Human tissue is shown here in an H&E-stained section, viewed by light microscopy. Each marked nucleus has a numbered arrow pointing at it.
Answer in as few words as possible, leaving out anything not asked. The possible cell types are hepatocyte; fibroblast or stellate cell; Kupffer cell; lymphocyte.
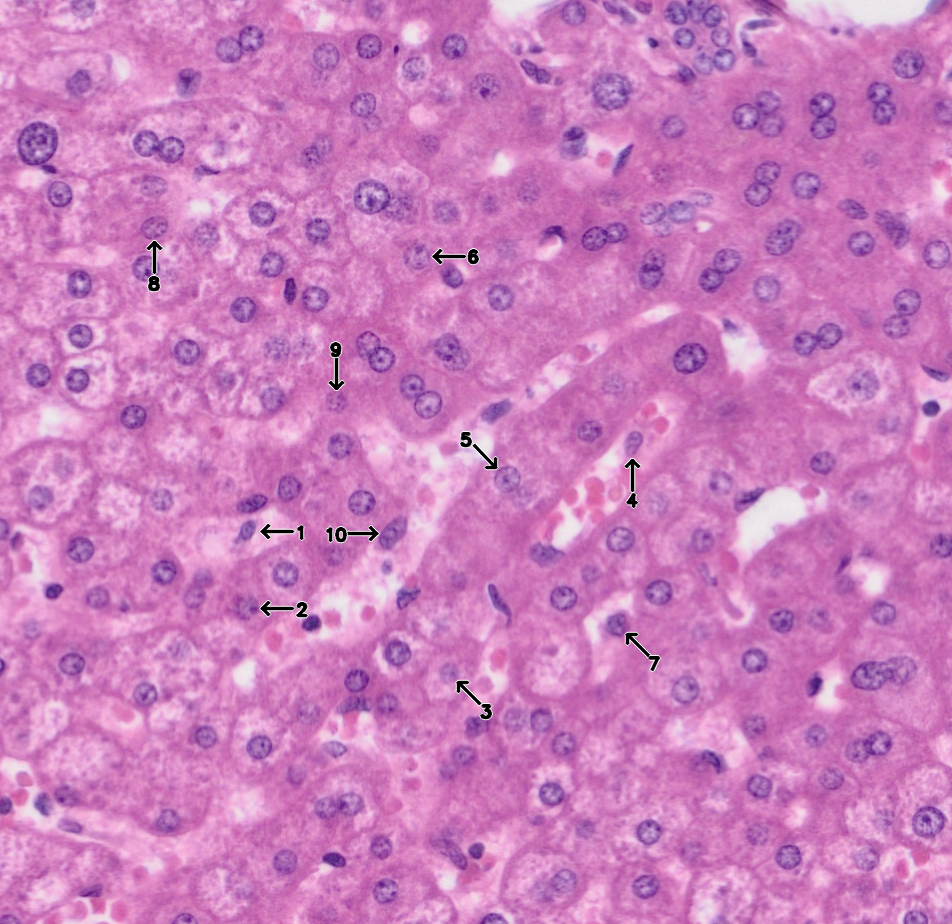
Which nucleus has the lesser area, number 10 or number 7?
7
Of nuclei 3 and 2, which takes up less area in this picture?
3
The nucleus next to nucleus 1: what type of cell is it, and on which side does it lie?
a fibroblast or stellate cell; above nucleus 1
